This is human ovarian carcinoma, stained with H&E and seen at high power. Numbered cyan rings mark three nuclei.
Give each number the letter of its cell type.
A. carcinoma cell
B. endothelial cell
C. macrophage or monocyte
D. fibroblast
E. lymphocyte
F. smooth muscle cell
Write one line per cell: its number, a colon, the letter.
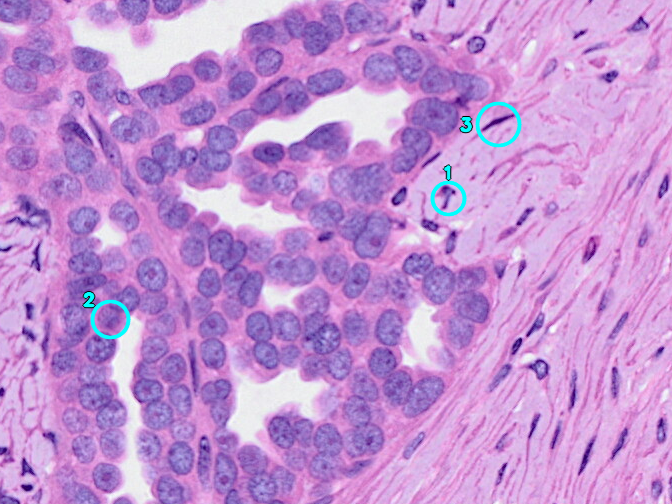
1: D
2: A
3: D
